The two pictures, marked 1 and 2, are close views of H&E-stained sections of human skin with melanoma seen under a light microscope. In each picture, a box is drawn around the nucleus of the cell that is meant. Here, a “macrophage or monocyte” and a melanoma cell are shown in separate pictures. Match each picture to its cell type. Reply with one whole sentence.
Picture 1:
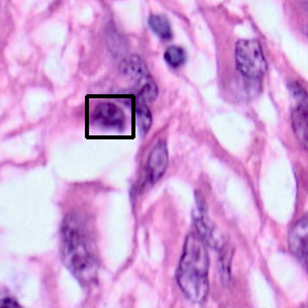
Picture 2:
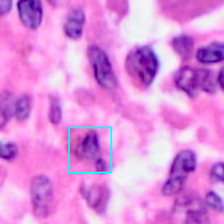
The cell in picture 1 is a melanoma cell, and the one in picture 2 is a “macrophage or monocyte”.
